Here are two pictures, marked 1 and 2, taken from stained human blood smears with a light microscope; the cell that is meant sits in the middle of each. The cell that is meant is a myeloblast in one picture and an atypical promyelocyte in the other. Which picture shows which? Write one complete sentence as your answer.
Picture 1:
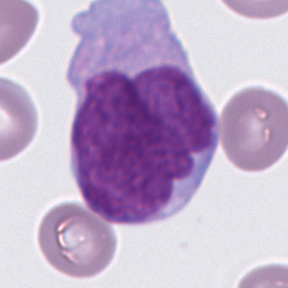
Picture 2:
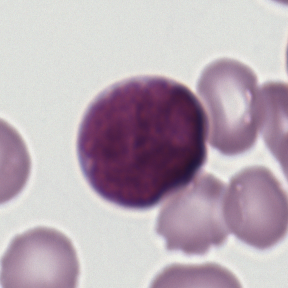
It is picture 1 that shows an atypical promyelocyte, and picture 2 that shows a myeloblast.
